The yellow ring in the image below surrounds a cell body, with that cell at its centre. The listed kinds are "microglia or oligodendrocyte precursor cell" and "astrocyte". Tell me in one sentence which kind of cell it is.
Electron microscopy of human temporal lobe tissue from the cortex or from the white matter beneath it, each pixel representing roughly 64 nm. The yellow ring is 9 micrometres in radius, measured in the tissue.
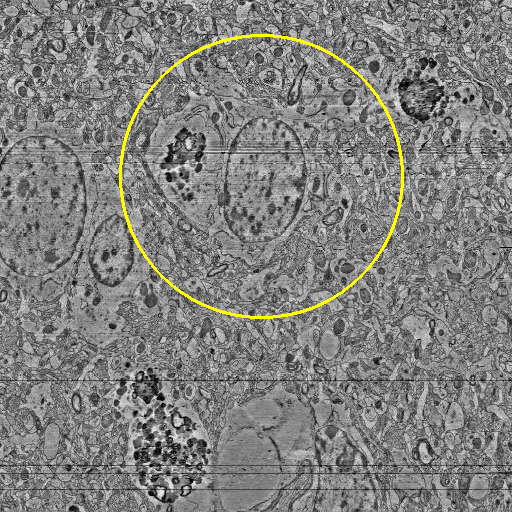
The centre of the ring holds an astrocyte.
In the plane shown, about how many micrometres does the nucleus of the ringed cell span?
About 8 by 5 micrometers; the nucleus is clearly longer than it is wide in this plane.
